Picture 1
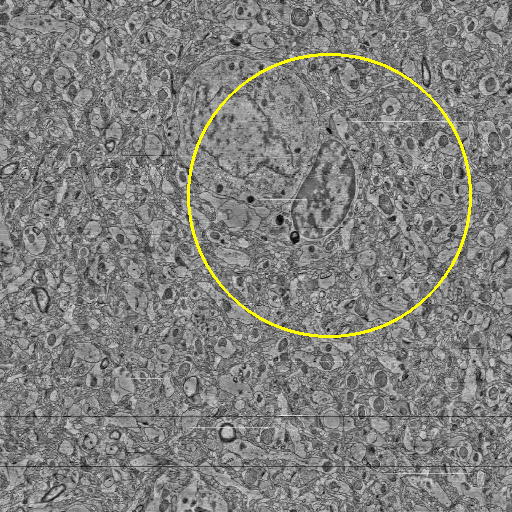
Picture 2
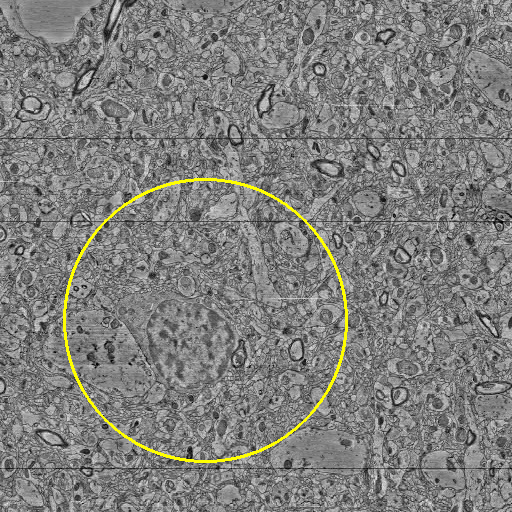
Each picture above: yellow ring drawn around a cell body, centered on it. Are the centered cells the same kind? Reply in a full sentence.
No, the two cells are two kinds of cell.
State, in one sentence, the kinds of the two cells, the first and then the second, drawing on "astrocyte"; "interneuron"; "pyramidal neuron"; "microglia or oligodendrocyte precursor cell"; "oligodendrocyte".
The ring in the second picture is centred on an oligodendrocyte, the ring in the first on a microglial cell or oligodendrocyte precursor cell.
